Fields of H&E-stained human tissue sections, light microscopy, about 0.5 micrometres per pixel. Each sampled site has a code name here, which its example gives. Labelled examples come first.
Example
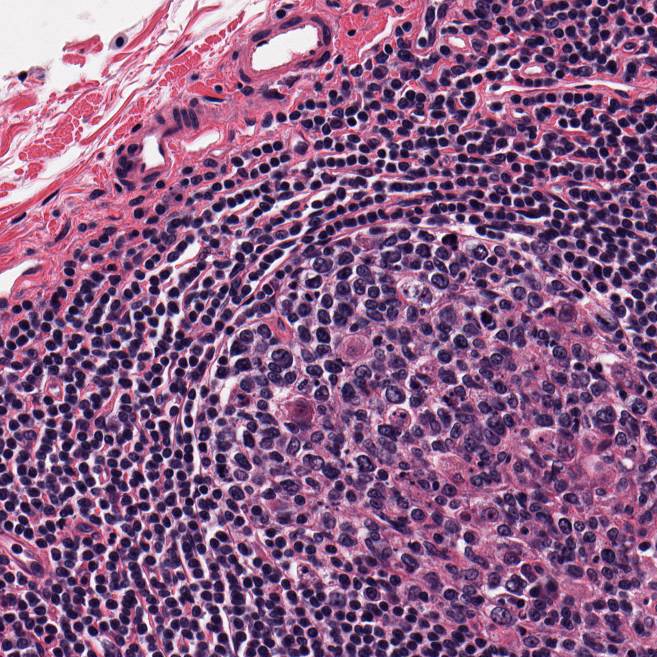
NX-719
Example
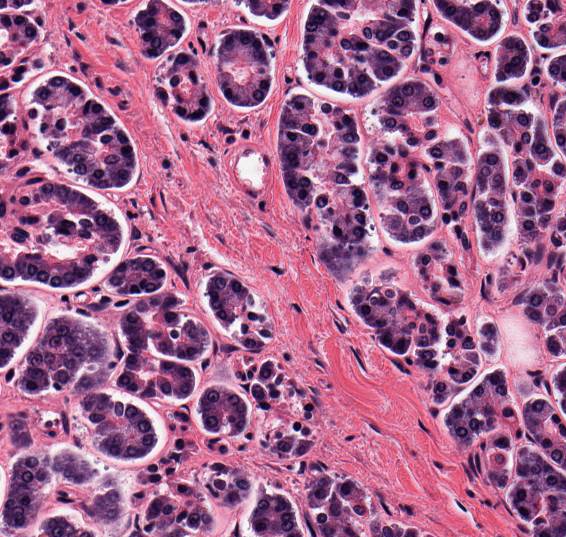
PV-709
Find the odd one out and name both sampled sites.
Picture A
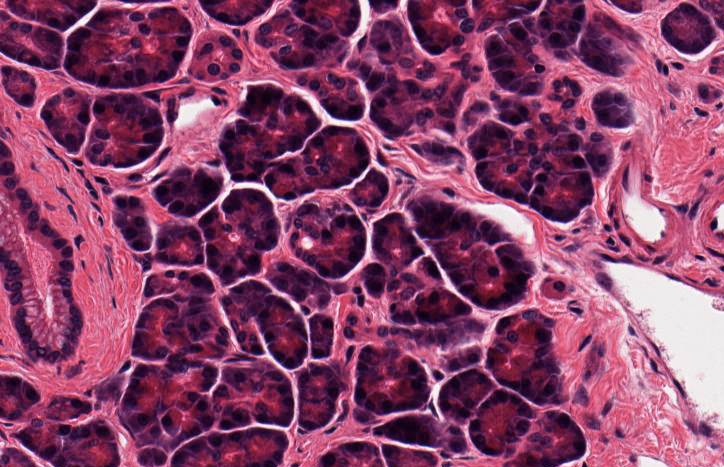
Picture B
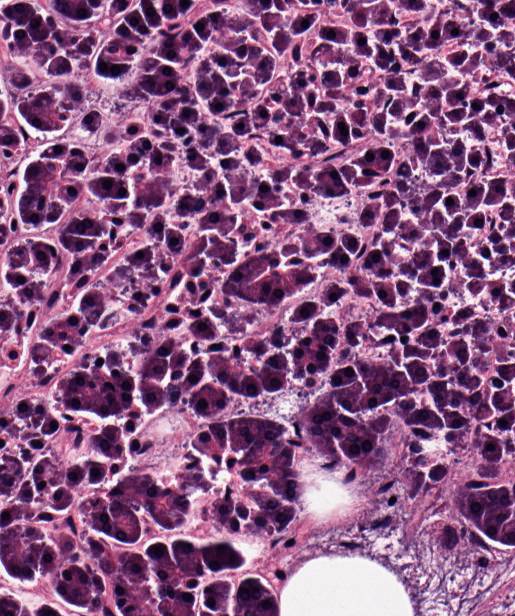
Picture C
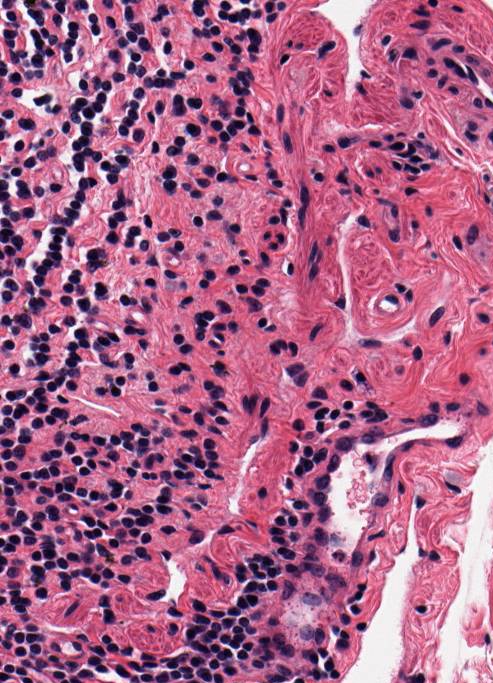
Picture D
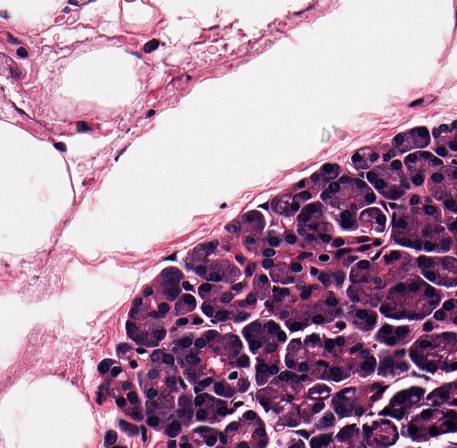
C (NX-719) is the exception; every other picture is PV-709.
